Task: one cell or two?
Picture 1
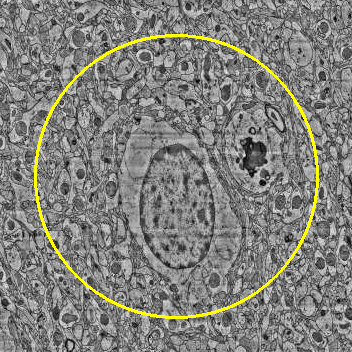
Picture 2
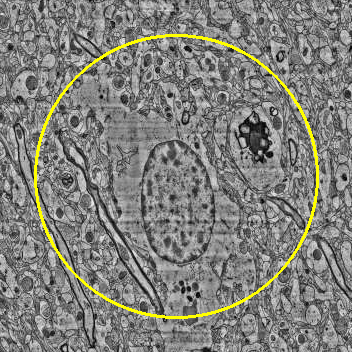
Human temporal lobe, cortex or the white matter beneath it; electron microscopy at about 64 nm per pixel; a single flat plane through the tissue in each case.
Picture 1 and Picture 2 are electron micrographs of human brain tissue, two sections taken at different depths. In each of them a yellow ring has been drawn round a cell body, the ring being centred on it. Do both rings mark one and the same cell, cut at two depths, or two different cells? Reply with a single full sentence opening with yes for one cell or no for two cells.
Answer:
Yes, the first and second rings frame the same single cell.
